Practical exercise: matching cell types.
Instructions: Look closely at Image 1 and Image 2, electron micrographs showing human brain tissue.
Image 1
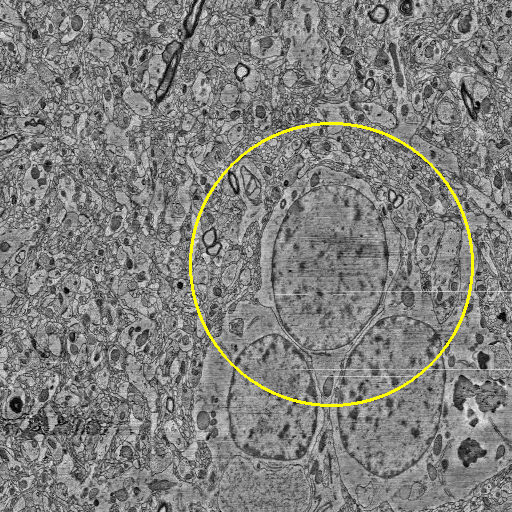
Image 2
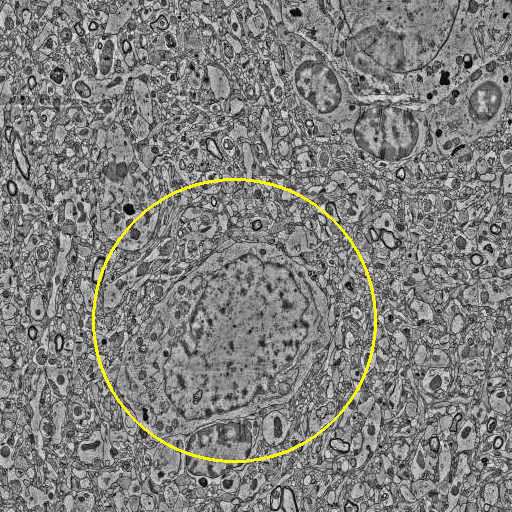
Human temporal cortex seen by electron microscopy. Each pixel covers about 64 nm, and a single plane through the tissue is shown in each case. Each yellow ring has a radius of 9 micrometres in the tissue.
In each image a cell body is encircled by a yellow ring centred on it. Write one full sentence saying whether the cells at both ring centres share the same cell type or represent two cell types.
Across Image 1 and Image 2, the cells at the ring centres represent two cell types.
